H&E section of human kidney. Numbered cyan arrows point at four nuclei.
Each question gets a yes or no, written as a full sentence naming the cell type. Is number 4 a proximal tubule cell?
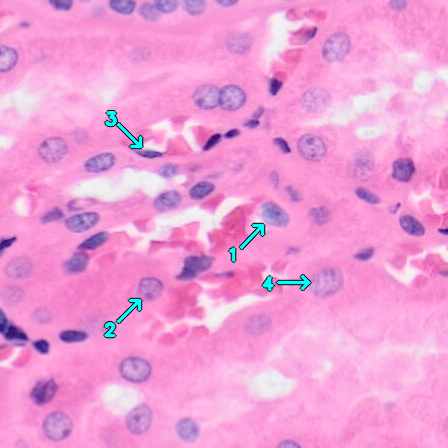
Yes, the cell referred to as number 4 is a proximal tubule cell.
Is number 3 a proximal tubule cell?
No, cell 3 is not a proximal tubule cell; it is an endothelial cell.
